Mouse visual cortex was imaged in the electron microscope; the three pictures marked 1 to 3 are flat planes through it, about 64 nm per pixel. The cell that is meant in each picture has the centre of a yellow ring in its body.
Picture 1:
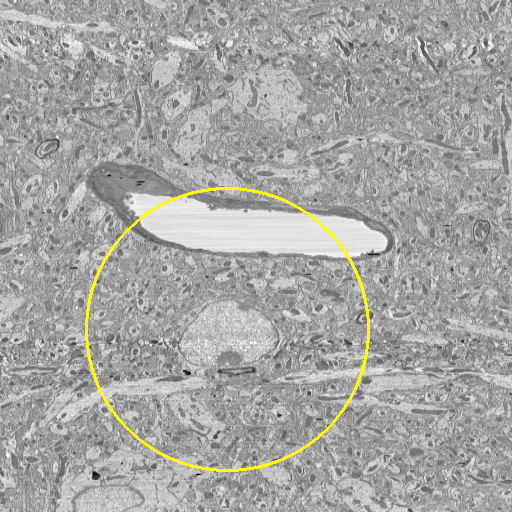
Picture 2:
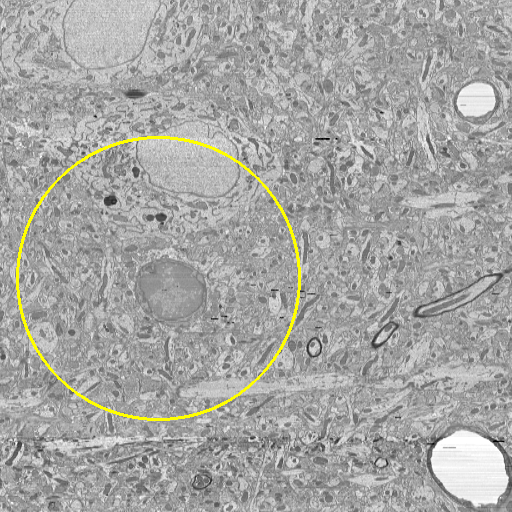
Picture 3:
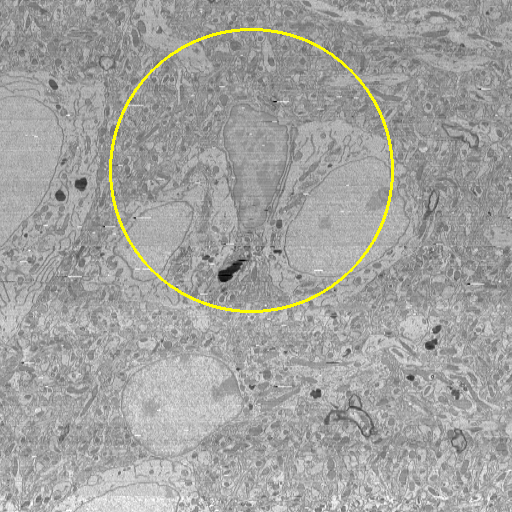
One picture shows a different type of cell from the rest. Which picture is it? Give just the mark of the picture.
1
